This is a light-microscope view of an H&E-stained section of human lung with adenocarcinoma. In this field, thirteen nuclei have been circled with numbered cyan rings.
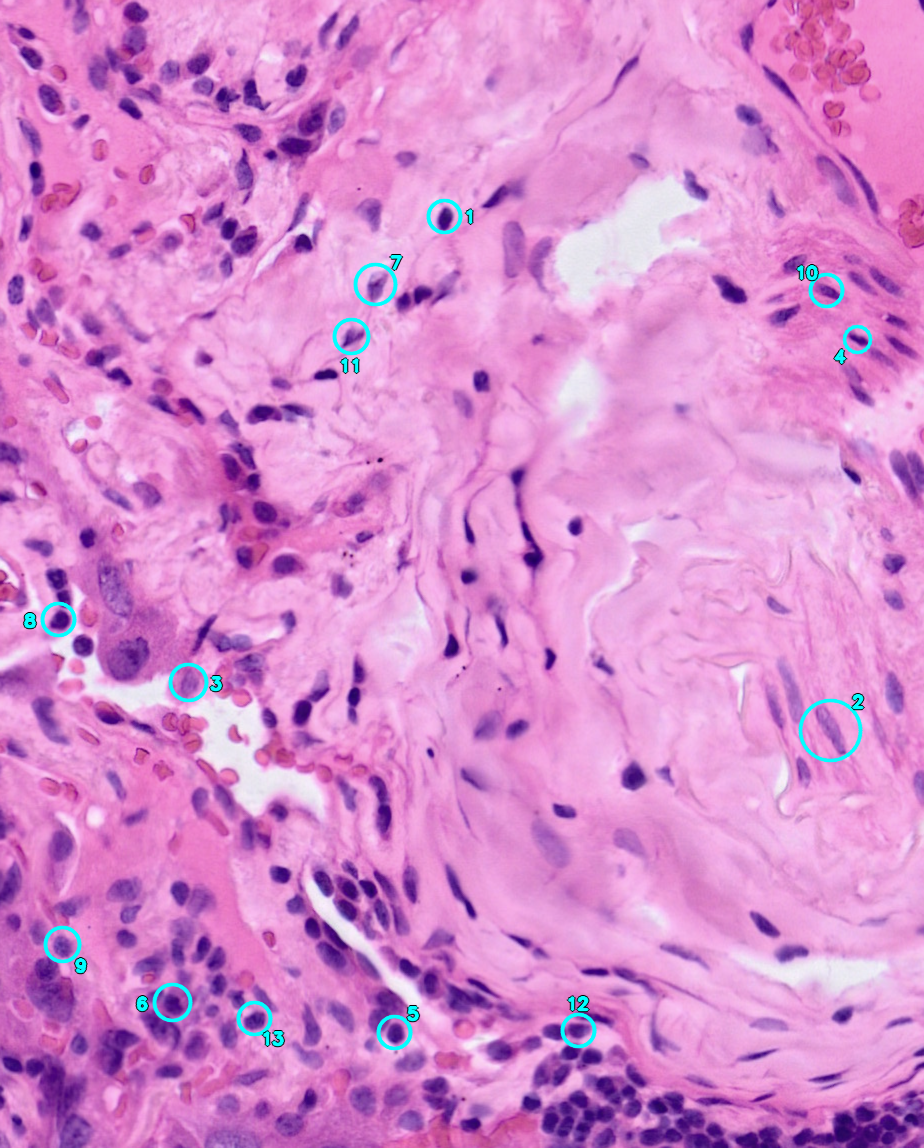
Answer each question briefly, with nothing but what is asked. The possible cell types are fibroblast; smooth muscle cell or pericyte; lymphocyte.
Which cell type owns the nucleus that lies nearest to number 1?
fibroblast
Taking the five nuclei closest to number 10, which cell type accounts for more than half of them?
smooth muscle cell or pericyte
